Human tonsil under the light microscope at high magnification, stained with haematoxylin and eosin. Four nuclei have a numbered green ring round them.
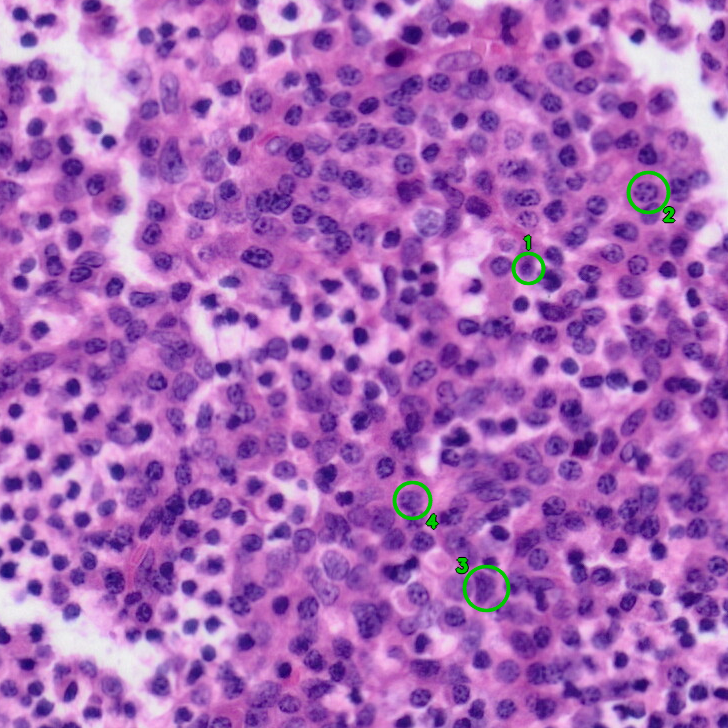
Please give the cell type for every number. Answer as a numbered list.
1. plasma cell
2. plasma cell
3. squamous epithelial cell
4. plasma cell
